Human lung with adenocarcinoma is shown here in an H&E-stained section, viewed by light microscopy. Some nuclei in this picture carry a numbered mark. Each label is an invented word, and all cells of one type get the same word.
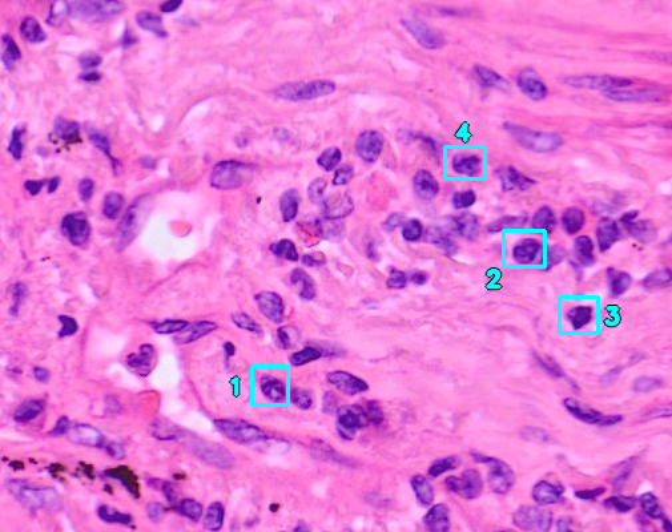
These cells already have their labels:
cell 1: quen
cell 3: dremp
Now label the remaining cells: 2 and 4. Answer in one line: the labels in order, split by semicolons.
dremp; dremp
